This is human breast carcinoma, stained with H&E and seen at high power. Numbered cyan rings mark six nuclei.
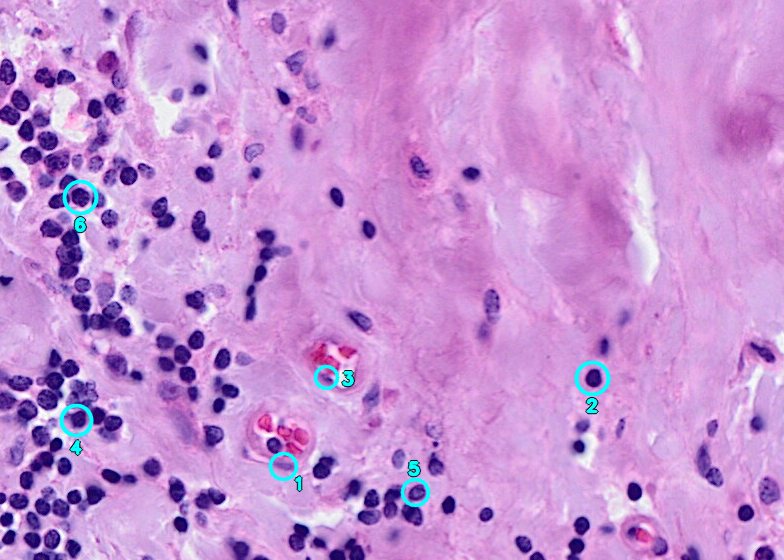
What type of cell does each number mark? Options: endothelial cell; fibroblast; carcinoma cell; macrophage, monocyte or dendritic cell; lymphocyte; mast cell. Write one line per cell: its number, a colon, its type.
1: endothelial cell
2: lymphocyte
3: endothelial cell
4: lymphocyte
5: lymphocyte
6: lymphocyte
